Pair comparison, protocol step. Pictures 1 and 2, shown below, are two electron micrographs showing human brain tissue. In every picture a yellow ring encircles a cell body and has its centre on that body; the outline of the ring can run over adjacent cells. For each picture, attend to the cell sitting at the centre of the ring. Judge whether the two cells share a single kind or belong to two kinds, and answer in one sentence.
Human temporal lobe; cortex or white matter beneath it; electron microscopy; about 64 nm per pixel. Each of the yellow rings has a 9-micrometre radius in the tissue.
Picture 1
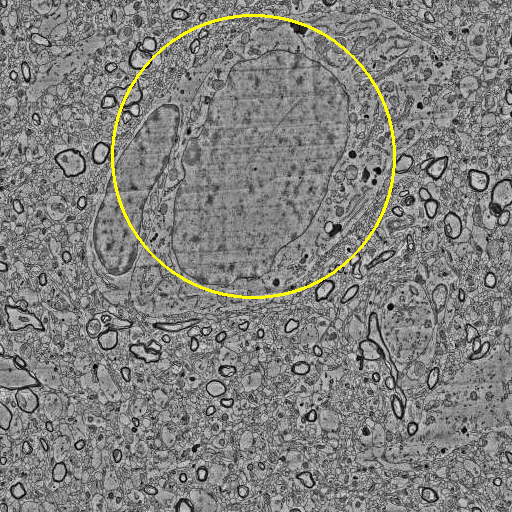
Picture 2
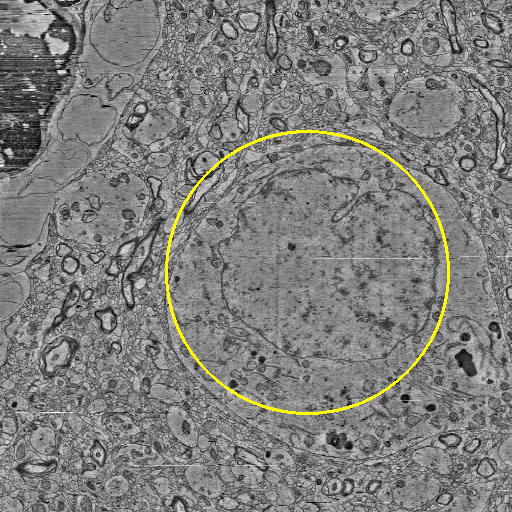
The two cells at the ring centres in Picture 1 and Picture 2 belong to two kinds.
